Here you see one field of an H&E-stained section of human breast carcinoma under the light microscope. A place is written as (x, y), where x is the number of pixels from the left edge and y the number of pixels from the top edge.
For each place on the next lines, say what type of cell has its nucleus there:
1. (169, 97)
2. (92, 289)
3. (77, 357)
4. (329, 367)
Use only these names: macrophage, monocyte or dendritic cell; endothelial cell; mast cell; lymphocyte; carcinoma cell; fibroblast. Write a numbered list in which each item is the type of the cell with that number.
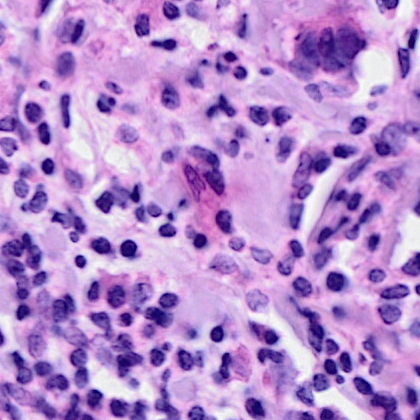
1. mast cell
2. lymphocyte
3. lymphocyte
4. lymphocyte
